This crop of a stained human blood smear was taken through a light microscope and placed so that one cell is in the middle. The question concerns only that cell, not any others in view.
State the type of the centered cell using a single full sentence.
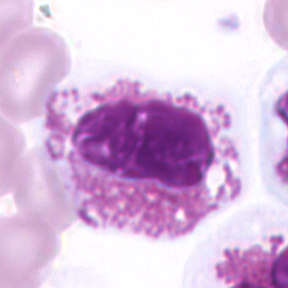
The crop centres on a single cell, and that cell is an eosinophil.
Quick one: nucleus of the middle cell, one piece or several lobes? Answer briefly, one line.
The nucleus is one compact mass, round, oval or kidney-shaped in outline.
